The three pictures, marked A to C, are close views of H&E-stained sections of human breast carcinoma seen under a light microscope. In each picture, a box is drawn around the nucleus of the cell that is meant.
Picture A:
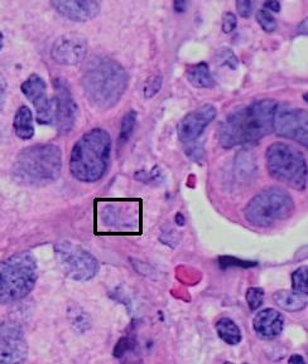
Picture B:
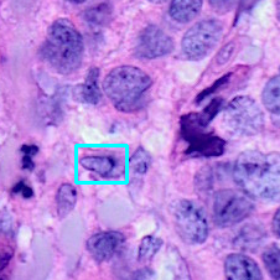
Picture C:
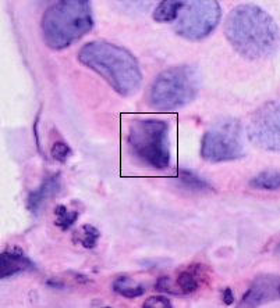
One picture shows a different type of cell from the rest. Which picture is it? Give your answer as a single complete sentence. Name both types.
Picture C differs, because its cell is a carcinoma cell and the rest are “macrophages, monocytes or dendritic cells”.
